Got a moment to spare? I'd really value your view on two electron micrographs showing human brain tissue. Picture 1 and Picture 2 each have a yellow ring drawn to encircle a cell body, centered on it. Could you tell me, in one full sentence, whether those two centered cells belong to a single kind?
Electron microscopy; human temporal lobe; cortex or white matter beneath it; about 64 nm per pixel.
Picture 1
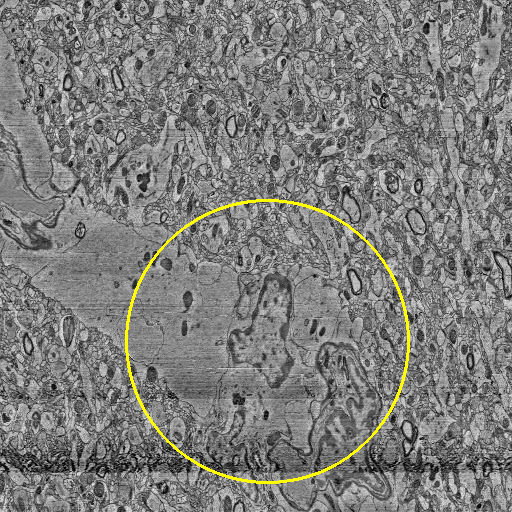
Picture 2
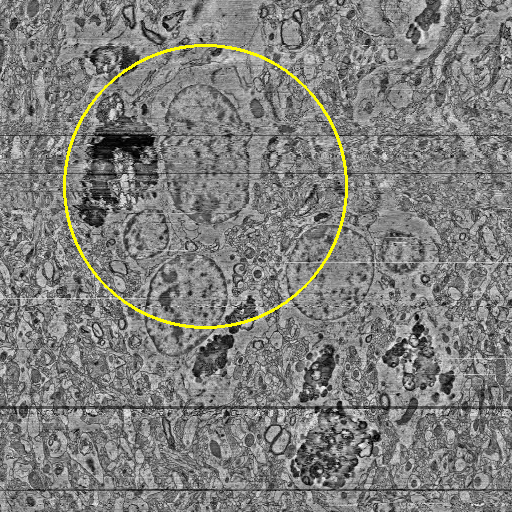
No, the two centered cells in Picture 1 and Picture 2 are of two kinds.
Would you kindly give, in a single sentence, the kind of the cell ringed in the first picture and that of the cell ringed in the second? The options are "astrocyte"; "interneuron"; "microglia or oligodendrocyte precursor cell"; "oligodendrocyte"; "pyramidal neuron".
The second cell is an astrocyte, and the first cell is a microglial cell or oligodendrocyte precursor cell.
